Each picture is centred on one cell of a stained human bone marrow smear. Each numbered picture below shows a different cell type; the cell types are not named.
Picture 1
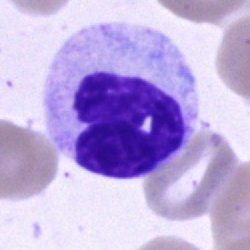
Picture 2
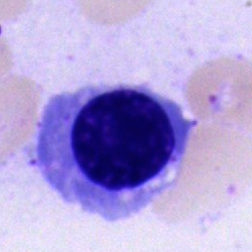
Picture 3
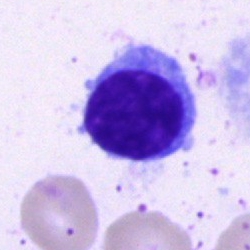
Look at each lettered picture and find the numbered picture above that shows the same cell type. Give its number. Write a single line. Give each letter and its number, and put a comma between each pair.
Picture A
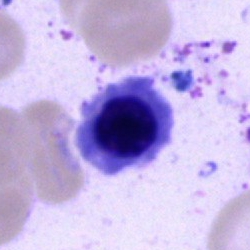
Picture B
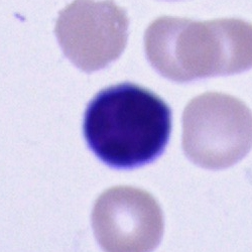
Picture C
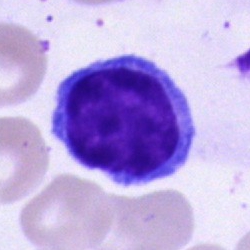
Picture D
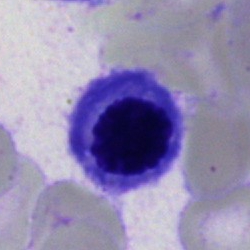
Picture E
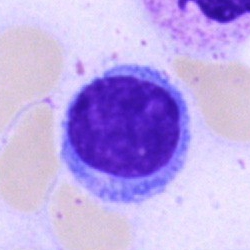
A 2, B 3, C 3, D 2, E 3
